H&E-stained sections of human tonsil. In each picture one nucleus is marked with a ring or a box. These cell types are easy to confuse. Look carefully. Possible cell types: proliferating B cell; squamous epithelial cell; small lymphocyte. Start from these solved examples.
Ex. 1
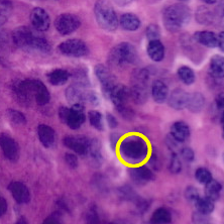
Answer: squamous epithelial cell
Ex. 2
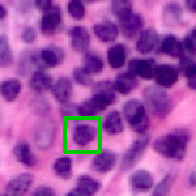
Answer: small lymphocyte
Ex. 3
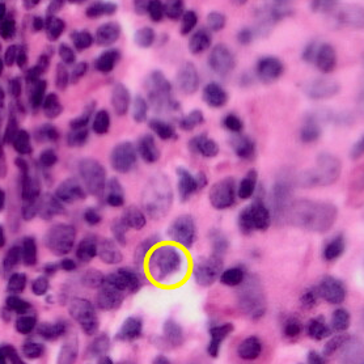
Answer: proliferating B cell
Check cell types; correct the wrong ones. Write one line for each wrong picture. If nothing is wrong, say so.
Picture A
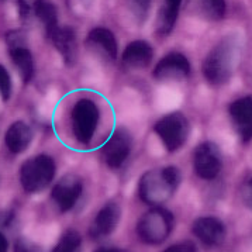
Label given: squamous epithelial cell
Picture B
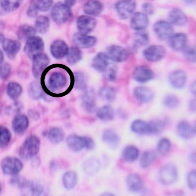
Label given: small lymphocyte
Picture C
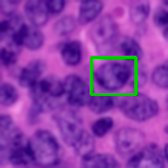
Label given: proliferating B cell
All labels are correct.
